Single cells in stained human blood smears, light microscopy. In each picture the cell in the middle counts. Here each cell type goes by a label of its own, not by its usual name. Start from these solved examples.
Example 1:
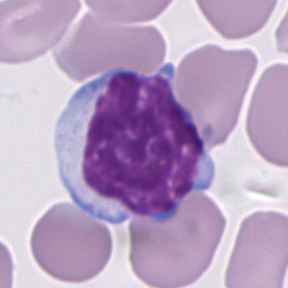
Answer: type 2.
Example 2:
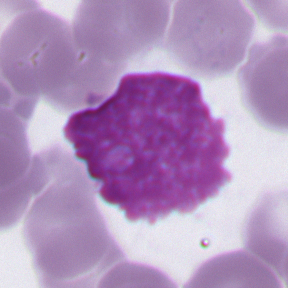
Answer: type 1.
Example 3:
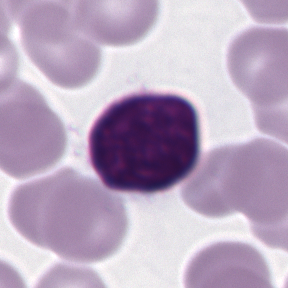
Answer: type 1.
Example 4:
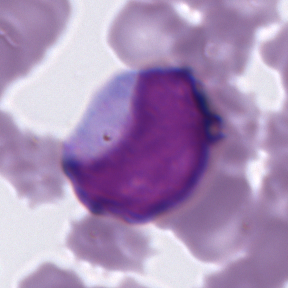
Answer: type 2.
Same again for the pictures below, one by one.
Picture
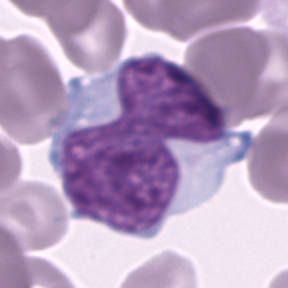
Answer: type 2.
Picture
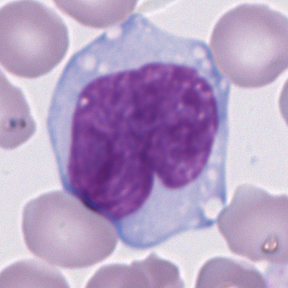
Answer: type 2.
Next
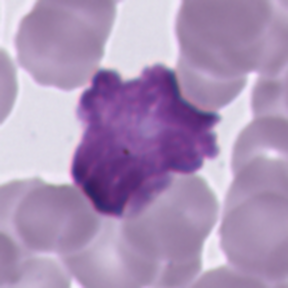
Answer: type 1.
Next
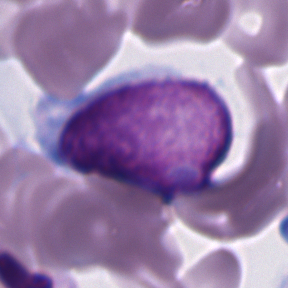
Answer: type 2.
